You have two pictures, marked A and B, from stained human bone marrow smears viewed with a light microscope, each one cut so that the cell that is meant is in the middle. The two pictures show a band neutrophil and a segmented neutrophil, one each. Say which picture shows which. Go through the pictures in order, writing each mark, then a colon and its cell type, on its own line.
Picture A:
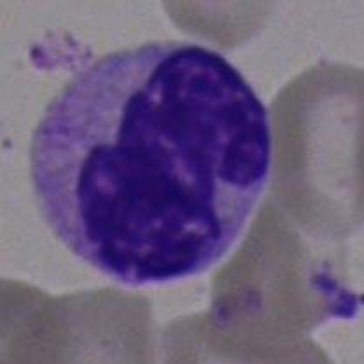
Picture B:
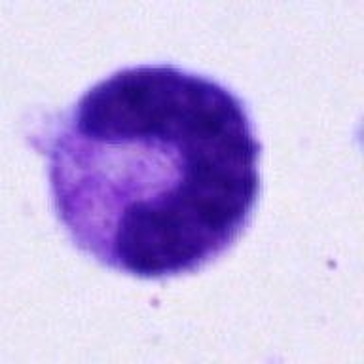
A: segmented neutrophil
B: band neutrophil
